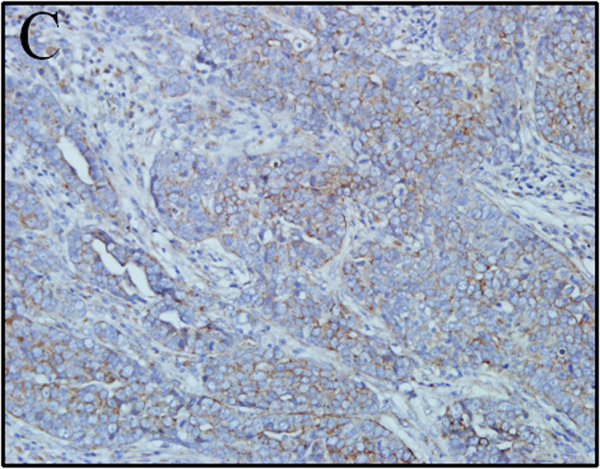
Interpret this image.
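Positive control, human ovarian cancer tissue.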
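The tumour cells are polygonal with round blue nuclei and show brown staining that outlines their borders and tints their cytoplasm. The stroma between the nests contains spindle-shaped cells and a few small vessels and stays largely unstained.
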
